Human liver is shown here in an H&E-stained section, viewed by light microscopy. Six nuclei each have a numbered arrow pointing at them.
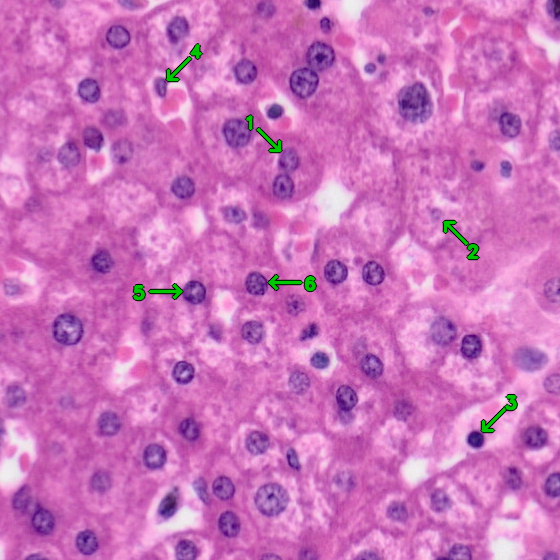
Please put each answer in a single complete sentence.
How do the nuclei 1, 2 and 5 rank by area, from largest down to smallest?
From largest to smallest, the order is 5, 1, 2.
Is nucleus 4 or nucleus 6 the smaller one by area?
The smaller nucleus is 4, and 6 covers roughly 2 times its area.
